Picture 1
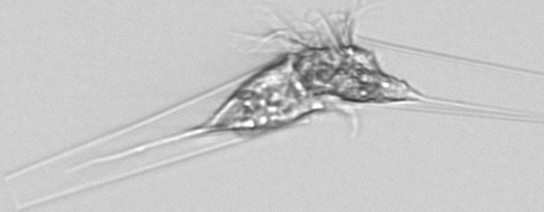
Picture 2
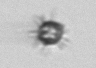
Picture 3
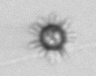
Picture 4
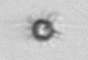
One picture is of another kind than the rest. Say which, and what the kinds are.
Picture 1 shows a tintinnid; the rest show Rhabdosphaera.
